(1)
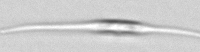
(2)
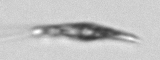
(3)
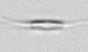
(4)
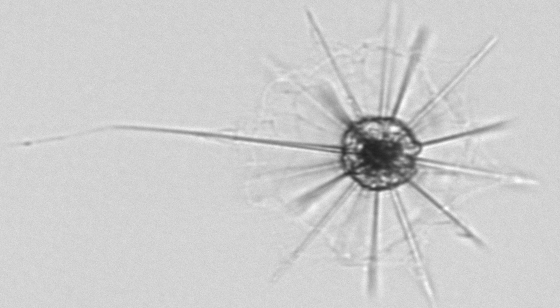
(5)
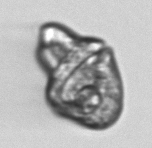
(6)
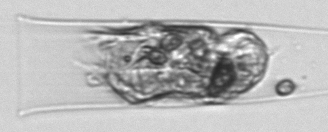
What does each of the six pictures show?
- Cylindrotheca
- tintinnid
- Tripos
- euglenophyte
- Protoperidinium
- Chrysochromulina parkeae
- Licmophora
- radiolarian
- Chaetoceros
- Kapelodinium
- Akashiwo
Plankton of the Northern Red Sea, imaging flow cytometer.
1. Cylindrotheca
2. euglenophyte
3. Cylindrotheca
4. radiolarian
5. Akashiwo
6. tintinnid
